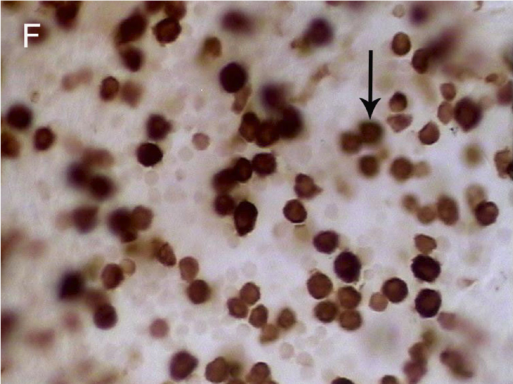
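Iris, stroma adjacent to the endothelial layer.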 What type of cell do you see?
round-pleiomorphic cells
